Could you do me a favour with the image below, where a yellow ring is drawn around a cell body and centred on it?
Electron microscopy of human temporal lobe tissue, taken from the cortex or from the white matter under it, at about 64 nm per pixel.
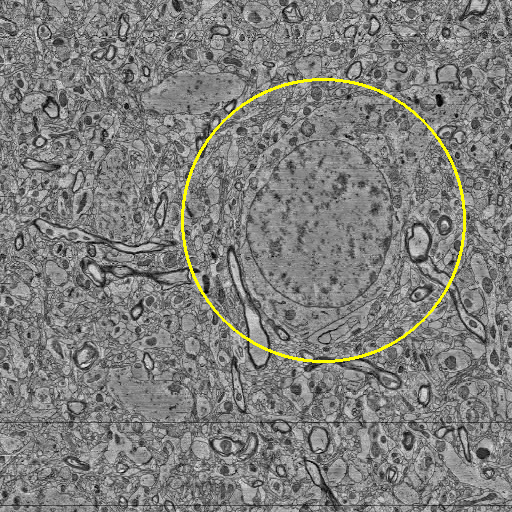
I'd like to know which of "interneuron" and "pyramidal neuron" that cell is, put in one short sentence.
The cell at the ring's centre is a pyramidal neuron.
